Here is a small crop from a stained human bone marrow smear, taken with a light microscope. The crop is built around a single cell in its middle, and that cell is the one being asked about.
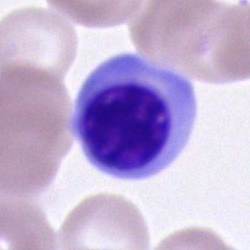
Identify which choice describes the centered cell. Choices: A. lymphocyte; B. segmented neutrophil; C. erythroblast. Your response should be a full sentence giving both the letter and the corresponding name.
Option C is right, the centrally situated cell being an erythroblast.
